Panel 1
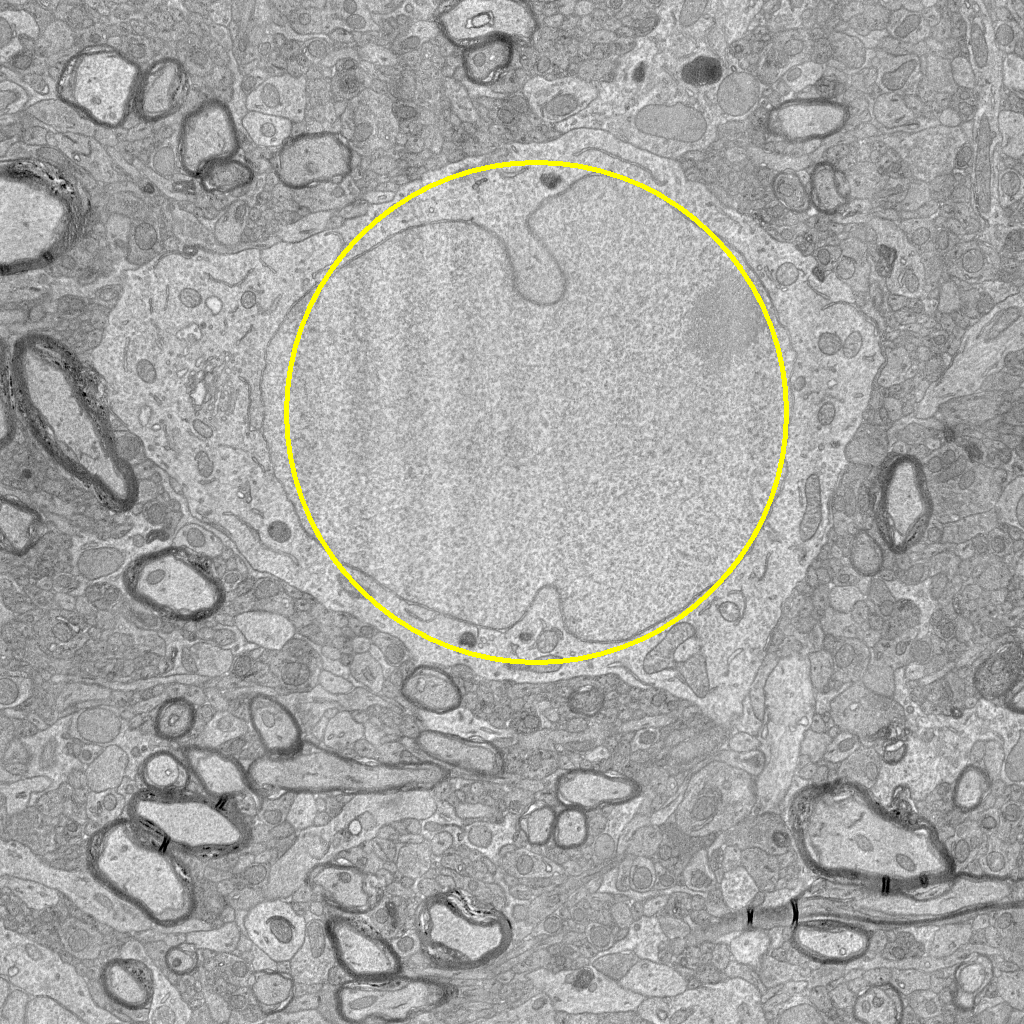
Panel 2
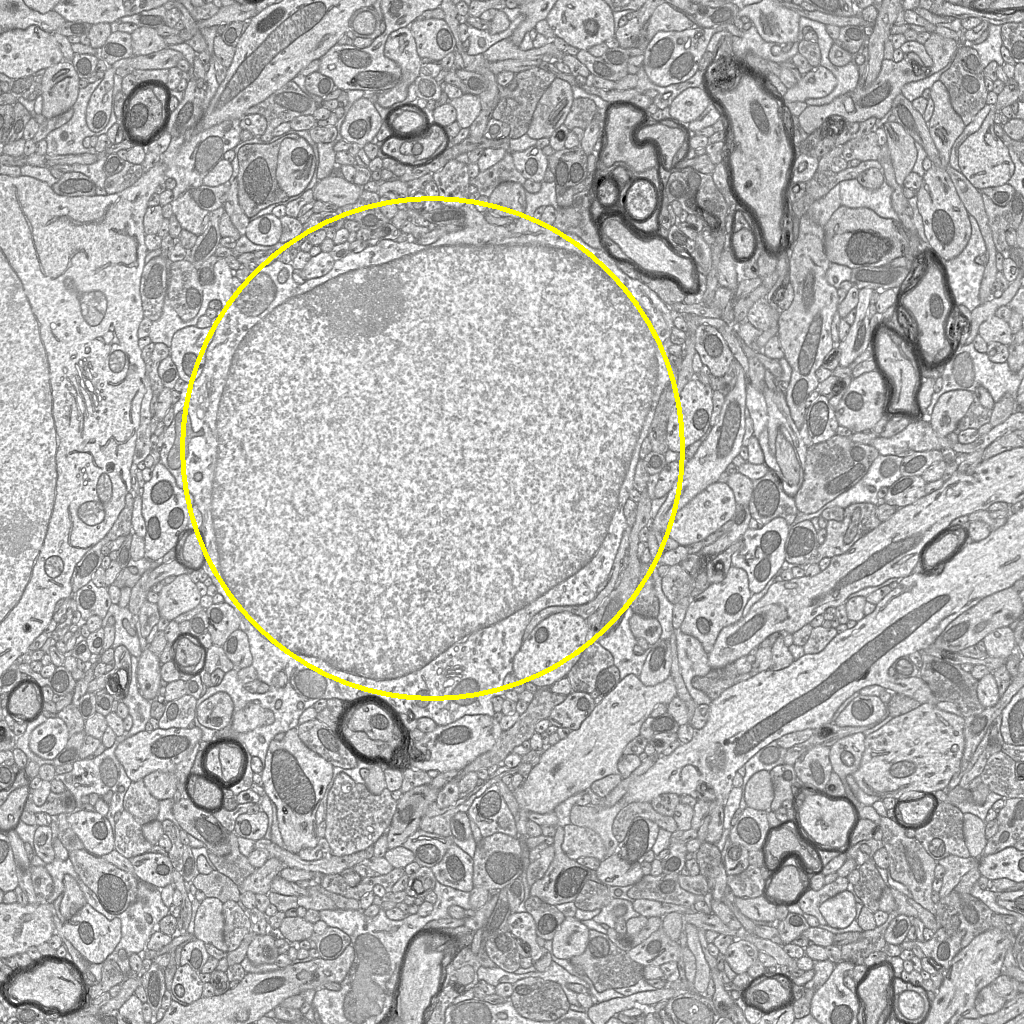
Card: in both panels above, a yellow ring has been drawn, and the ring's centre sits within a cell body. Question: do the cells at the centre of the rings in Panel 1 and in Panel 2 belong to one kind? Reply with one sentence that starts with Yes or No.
No, the cells at the ring centres of Panel 1 and Panel 2 are two kinds of cell.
